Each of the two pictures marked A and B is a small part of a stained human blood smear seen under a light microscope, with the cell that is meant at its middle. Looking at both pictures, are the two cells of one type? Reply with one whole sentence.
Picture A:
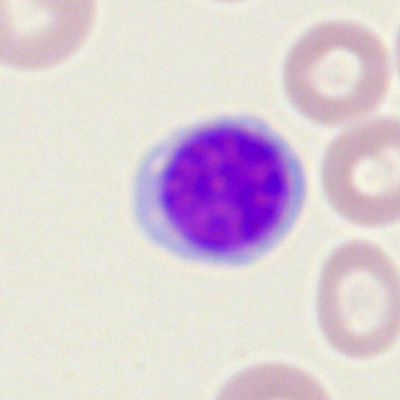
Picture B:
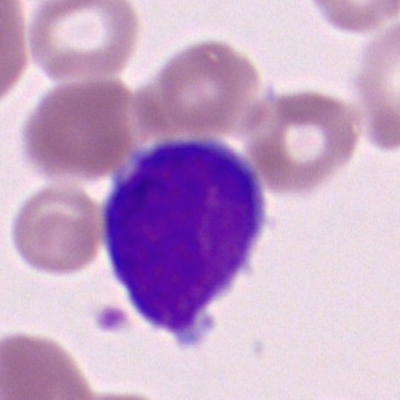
No, they differ: the cell is a lymphocyte in picture A and a myeloblast in picture B.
